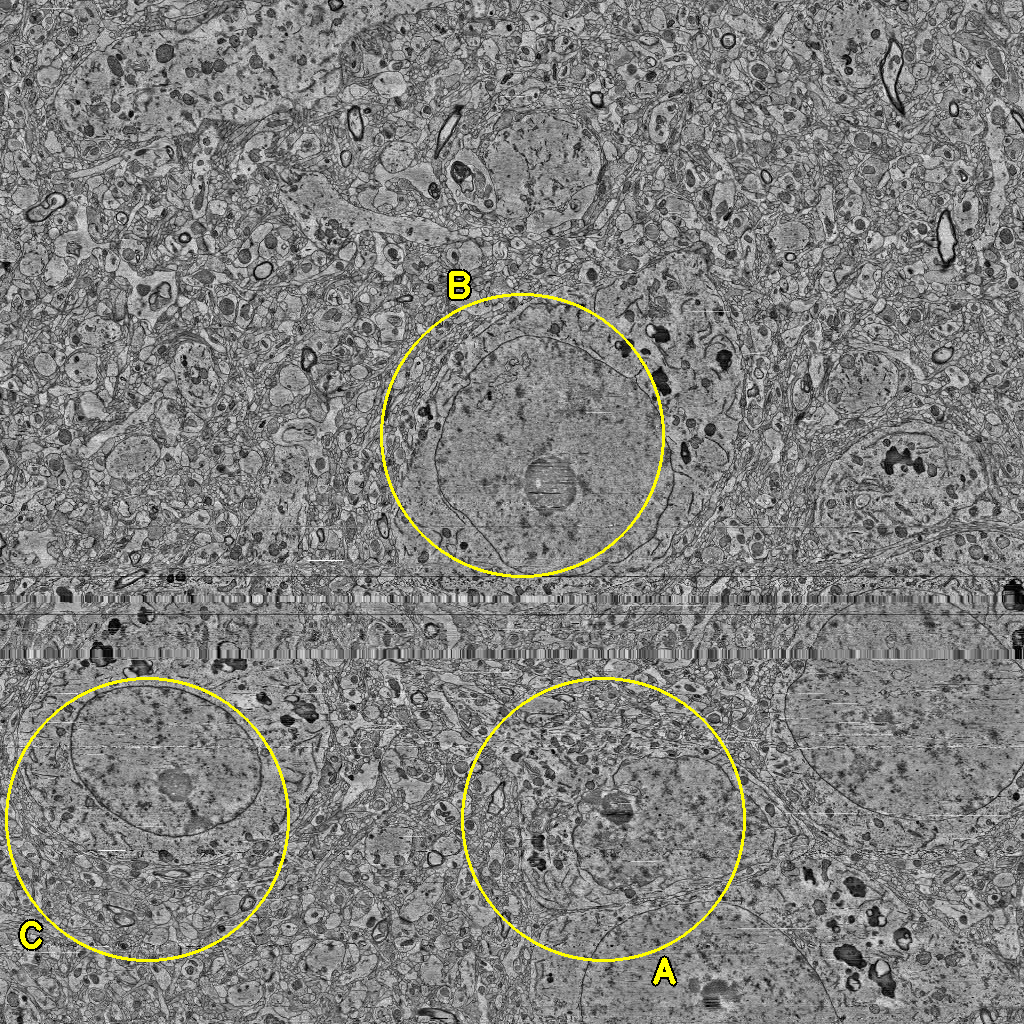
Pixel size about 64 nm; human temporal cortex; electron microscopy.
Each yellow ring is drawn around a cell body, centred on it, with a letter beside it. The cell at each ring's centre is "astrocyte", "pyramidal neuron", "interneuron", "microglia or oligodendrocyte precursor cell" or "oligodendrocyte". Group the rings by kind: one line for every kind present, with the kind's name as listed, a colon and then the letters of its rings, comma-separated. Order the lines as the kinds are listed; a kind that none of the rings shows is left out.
pyramidal neuron: B, C
interneuron: A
